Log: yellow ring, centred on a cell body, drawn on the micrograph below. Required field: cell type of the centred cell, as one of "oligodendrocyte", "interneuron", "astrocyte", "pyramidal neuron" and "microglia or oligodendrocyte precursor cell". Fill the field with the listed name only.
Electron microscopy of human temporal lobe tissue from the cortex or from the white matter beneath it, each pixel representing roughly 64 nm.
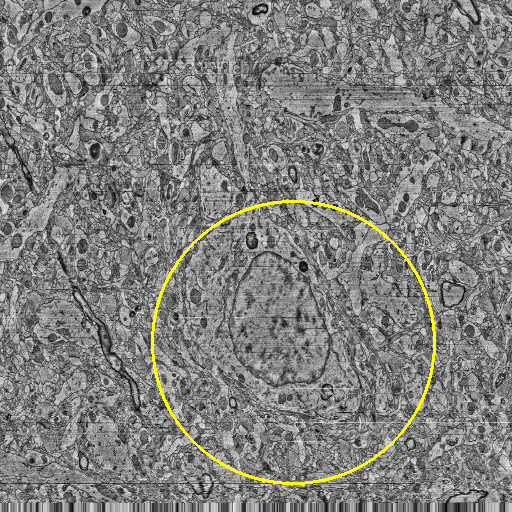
pyramidal neuron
